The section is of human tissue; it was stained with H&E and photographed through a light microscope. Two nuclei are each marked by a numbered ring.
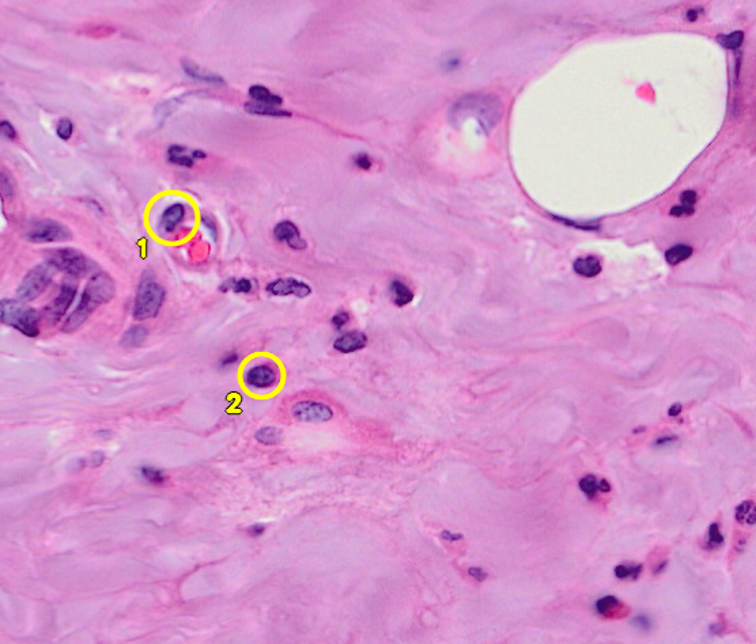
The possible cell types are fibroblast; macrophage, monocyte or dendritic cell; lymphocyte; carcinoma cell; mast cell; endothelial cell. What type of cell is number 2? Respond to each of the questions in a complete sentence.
The cell with the number 2 is a mast cell.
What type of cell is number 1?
The cell that goes by number 1 is an endothelial cell.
